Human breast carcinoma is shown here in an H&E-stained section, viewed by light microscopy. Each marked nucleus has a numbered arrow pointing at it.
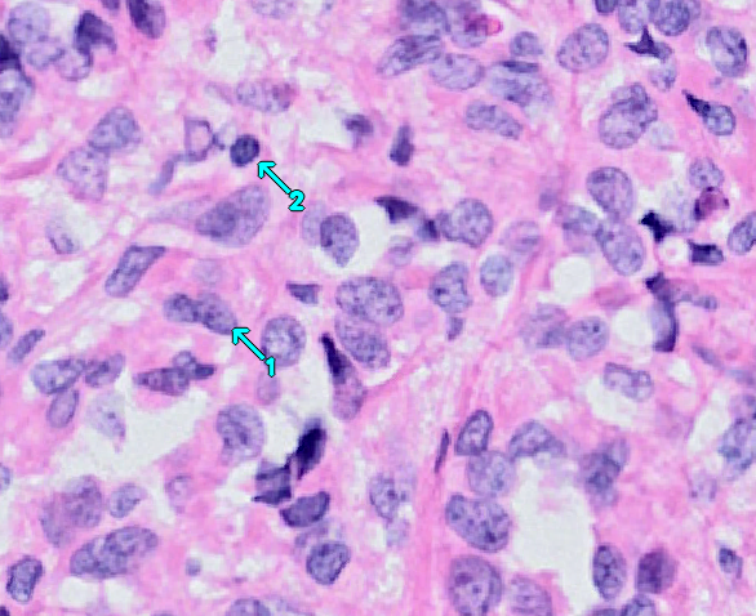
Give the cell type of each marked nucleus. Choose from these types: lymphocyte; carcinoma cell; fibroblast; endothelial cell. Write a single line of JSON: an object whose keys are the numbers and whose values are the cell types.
{"1": "carcinoma cell", "2": "lymphocyte"}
